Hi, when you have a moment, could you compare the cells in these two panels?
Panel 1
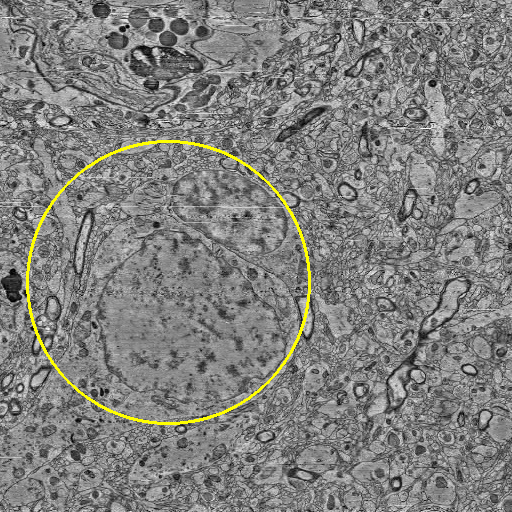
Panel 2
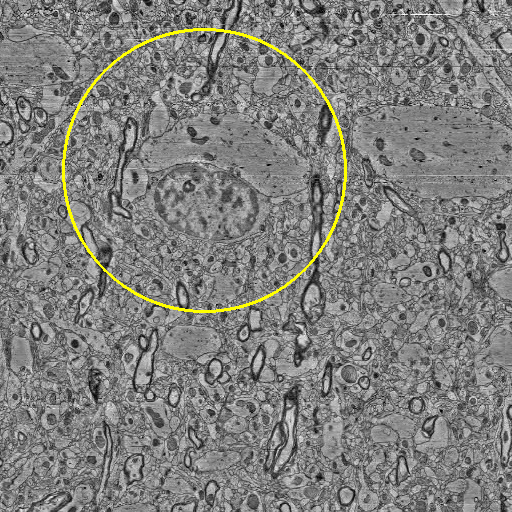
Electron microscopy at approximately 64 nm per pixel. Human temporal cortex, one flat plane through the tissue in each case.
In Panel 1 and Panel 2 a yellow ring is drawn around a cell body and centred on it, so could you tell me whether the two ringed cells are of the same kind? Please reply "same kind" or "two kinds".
two kinds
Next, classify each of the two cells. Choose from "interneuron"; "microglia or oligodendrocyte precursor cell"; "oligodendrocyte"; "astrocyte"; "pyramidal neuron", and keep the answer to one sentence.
In the first picture it is a pyramidal neuron; in the second it is an oligodendrocyte.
